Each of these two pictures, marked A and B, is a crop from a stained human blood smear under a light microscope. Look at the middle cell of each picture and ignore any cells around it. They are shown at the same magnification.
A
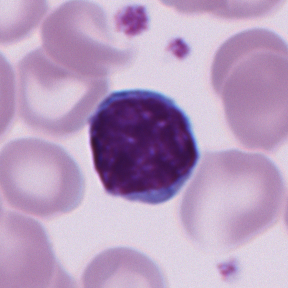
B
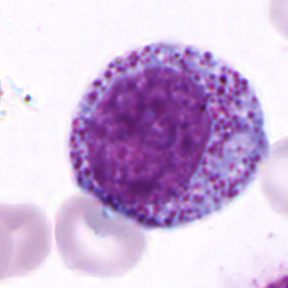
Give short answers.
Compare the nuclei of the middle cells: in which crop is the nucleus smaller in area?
A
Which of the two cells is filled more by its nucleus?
A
